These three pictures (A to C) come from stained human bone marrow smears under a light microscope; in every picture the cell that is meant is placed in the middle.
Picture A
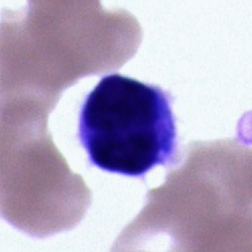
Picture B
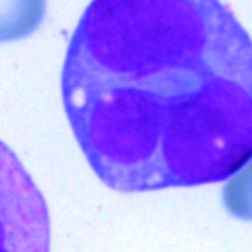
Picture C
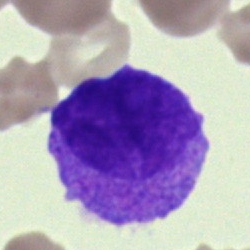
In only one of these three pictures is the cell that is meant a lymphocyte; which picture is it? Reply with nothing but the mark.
A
